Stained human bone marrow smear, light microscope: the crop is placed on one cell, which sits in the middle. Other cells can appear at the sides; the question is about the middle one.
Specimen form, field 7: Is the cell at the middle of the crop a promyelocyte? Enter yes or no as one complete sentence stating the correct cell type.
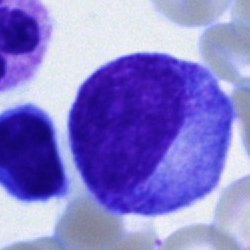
Yes, this crop has a promyelocyte at its centre.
